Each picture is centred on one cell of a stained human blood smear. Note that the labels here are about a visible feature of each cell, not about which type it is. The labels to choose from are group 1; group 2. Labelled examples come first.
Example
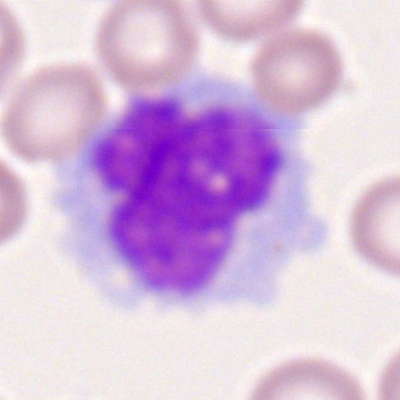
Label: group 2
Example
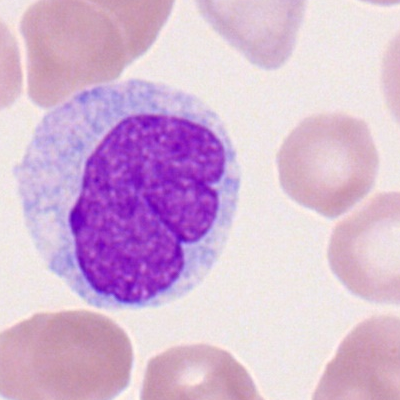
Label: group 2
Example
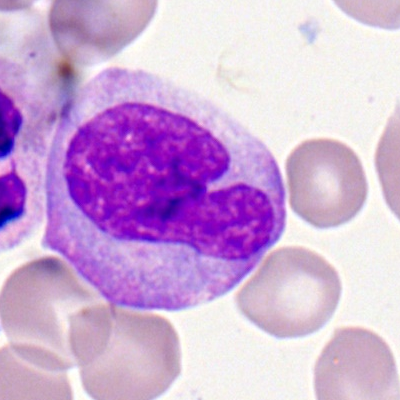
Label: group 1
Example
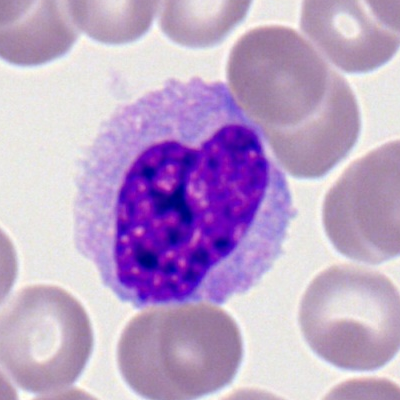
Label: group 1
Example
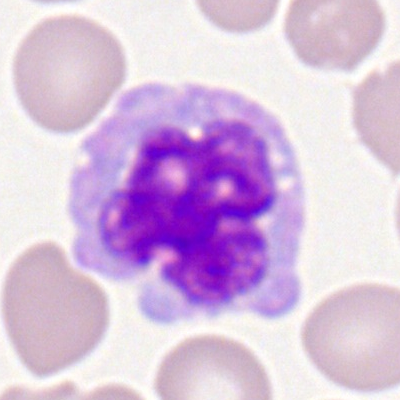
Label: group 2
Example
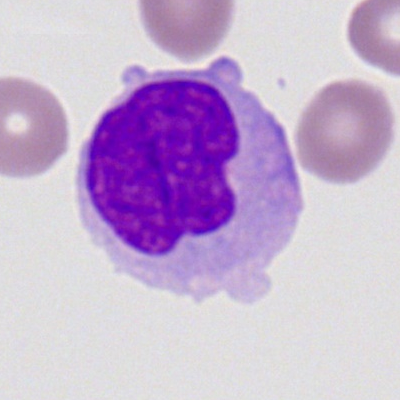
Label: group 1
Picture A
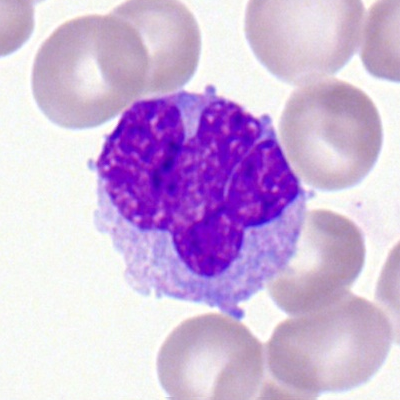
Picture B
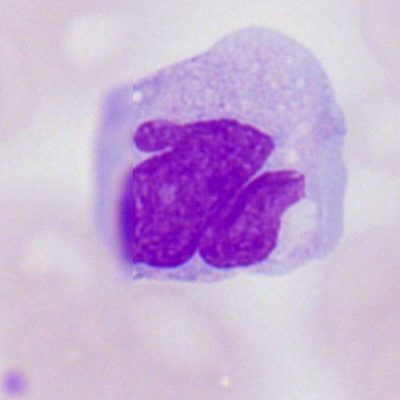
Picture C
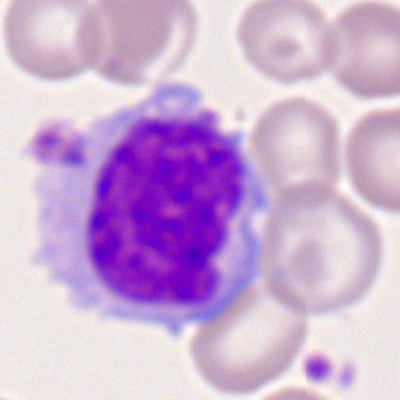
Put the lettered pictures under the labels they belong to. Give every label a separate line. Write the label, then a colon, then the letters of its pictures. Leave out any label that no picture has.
group 1: C
group 2: A, B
